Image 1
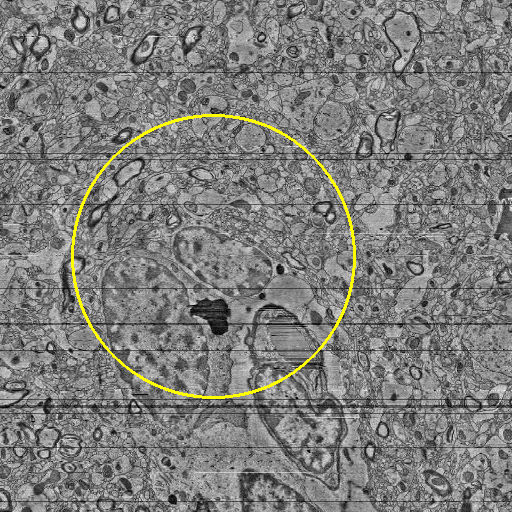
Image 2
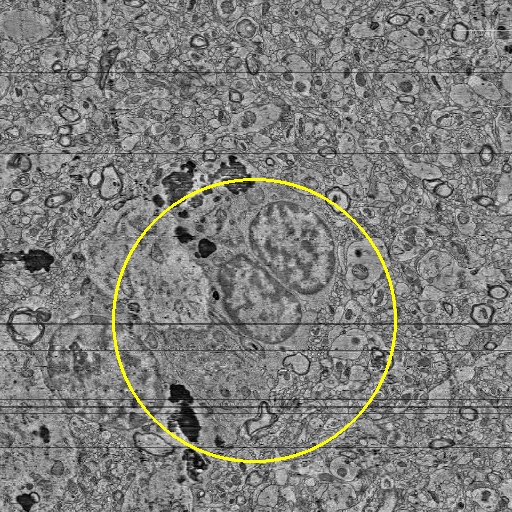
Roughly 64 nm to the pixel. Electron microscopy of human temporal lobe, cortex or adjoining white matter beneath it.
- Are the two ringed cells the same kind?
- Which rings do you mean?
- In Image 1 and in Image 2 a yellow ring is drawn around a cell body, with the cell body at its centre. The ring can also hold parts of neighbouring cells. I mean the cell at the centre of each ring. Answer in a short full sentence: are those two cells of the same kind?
No, the cells are of two kinds.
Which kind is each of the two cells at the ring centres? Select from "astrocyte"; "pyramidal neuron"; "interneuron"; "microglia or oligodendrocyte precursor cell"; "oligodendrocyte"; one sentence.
The cell at the centre of the ring is a microglial cell or oligodendrocyte precursor cell in the first picture and an oligodendrocyte in the second.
